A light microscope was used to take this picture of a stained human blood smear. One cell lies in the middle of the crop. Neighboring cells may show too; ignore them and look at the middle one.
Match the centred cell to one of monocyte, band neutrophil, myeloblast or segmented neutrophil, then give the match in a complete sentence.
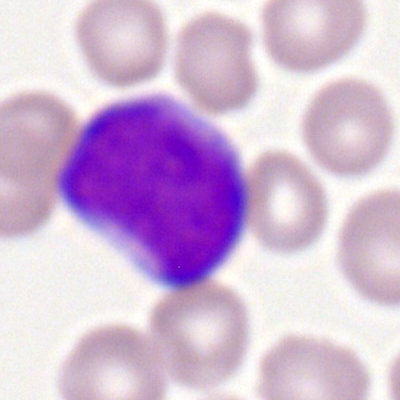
The cell marked by its central position in the crop is a myeloblast.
